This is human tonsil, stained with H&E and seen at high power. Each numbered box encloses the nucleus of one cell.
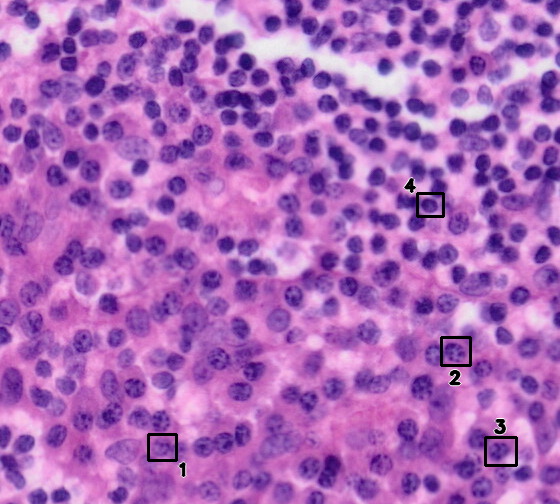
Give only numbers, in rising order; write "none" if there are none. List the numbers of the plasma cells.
1, 2, 3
